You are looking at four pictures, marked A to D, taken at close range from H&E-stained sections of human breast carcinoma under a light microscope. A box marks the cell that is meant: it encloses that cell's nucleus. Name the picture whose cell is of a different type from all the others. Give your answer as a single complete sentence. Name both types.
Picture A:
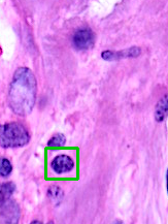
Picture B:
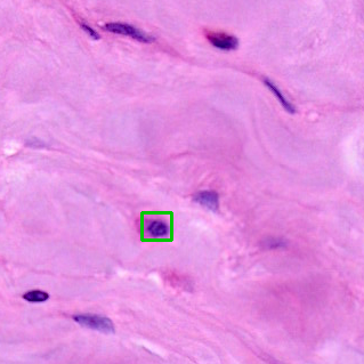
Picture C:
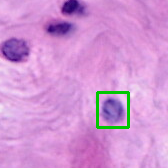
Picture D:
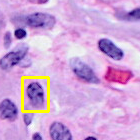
All pictures except A show mast cells; picture A shows a lymphocyte.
